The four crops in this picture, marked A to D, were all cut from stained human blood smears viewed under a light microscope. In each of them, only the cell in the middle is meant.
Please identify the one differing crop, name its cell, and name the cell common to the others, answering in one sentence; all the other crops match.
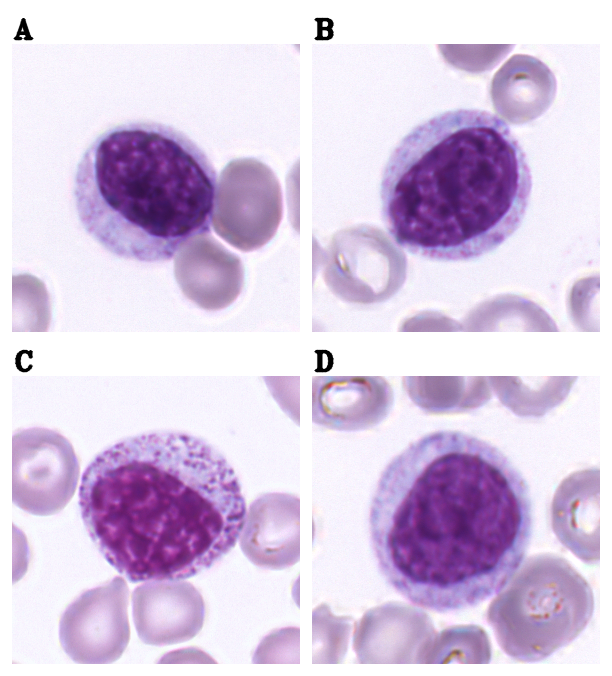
Crop D differs, its cell being a myelocyte, whereas the other crops show metamyelocytes.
